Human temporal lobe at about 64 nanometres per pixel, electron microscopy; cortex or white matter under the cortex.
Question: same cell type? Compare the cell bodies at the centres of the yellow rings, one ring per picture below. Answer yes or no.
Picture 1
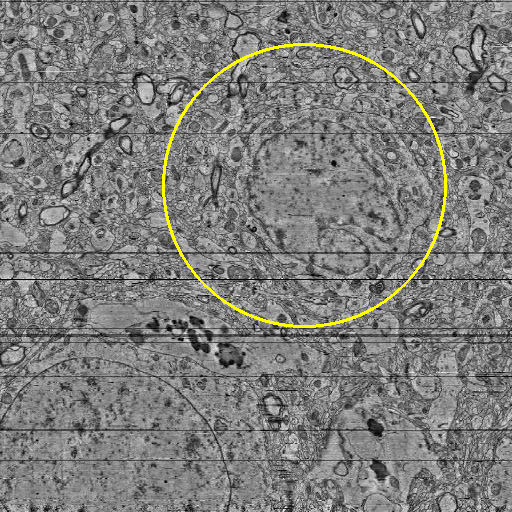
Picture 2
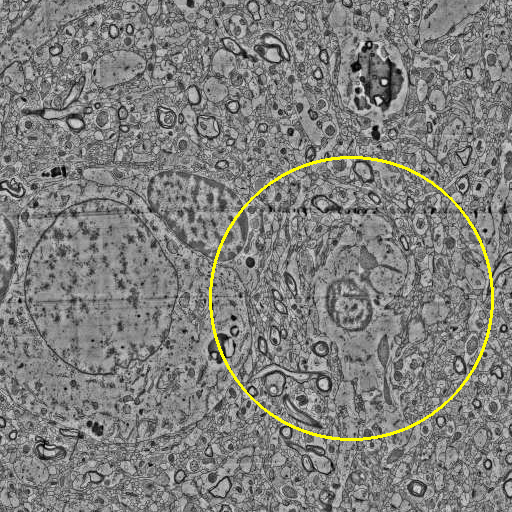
no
